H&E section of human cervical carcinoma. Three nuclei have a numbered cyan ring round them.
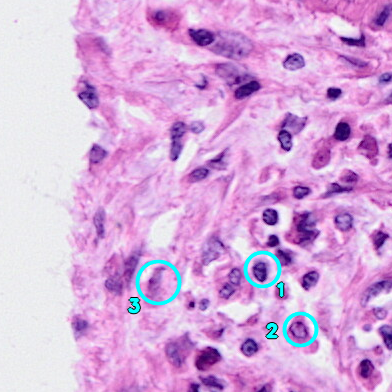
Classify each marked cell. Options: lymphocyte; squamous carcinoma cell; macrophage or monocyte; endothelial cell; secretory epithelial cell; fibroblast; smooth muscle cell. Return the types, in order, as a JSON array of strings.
["lymphocyte", "macrophage or monocyte", "fibroblast"]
